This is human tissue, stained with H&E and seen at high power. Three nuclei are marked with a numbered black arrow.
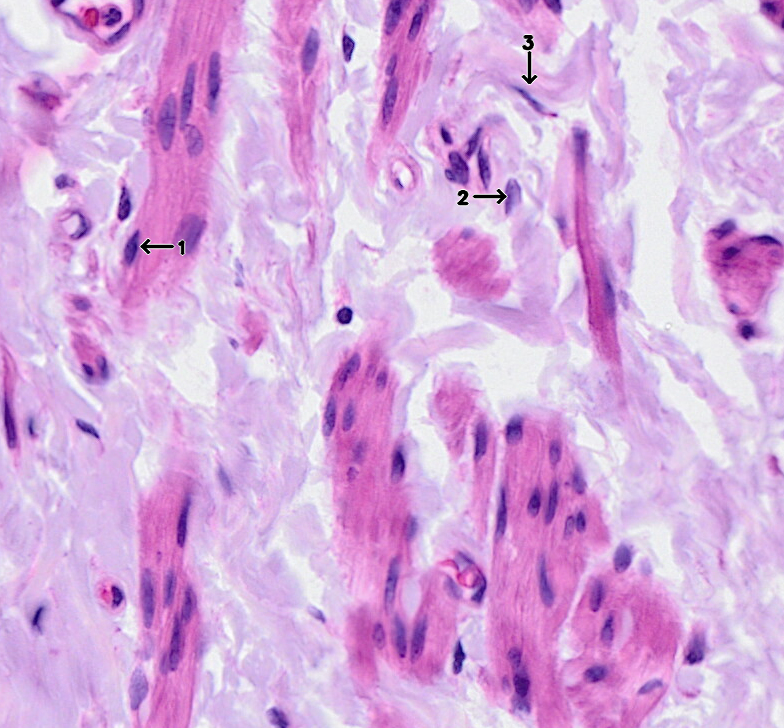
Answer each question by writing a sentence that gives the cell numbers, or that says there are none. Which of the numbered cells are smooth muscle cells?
There is just one numbered cell that is a smooth muscle cell, and it is cell 1.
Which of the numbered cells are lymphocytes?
None of the numbered cells are lymphocytes.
